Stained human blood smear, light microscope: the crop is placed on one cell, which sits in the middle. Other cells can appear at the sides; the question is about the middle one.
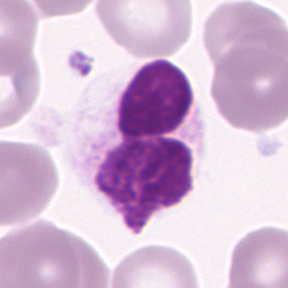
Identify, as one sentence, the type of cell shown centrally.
Positioned in the middle of the crop is a neutrophil.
